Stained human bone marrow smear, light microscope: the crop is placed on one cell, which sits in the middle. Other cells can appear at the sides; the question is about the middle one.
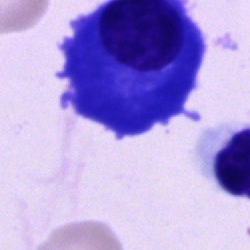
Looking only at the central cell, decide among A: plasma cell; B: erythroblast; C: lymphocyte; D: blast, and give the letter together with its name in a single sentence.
The central cell is a plasma cell, which makes option A the right answer.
